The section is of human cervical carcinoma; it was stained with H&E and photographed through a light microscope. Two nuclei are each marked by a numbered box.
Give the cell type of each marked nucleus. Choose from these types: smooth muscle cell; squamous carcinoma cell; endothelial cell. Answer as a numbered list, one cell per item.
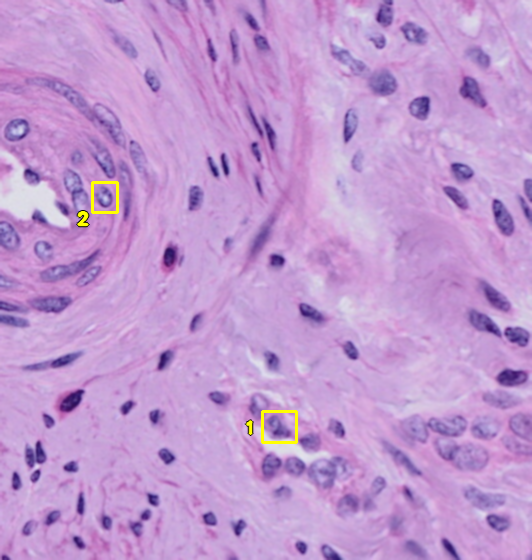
1. endothelial cell
2. smooth muscle cell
